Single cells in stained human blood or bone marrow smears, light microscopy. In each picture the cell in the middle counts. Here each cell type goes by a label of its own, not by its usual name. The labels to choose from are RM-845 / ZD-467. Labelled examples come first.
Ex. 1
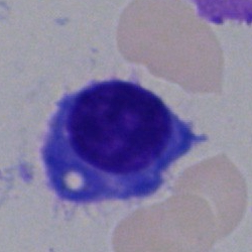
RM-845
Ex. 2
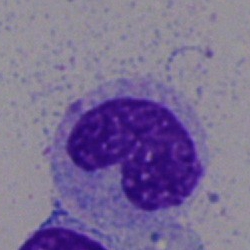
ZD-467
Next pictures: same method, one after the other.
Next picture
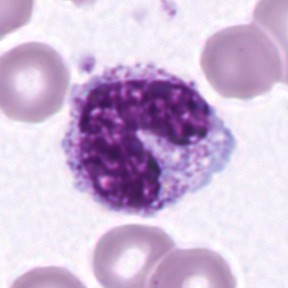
ZD-467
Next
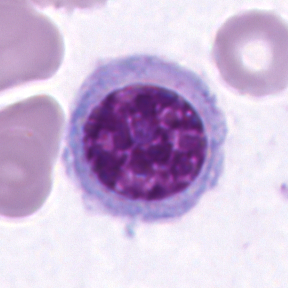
RM-845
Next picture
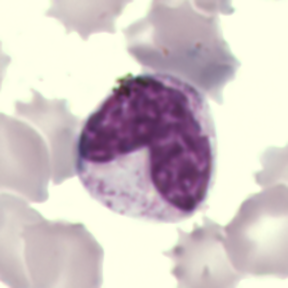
ZD-467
